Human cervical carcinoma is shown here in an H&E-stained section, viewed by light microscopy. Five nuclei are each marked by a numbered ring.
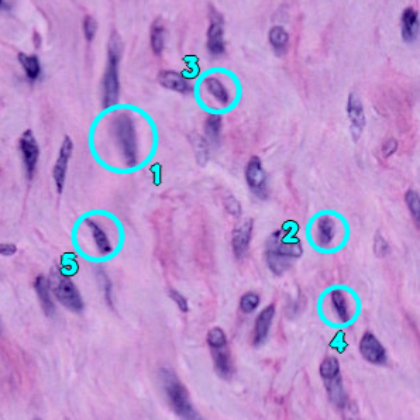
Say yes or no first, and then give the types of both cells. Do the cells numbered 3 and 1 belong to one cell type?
No, cell 3 is a smooth muscle cell and cell 1 is a fibroblast.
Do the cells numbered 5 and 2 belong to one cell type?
No, cell 5 is a fibroblast and cell 2 is a smooth muscle cell.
